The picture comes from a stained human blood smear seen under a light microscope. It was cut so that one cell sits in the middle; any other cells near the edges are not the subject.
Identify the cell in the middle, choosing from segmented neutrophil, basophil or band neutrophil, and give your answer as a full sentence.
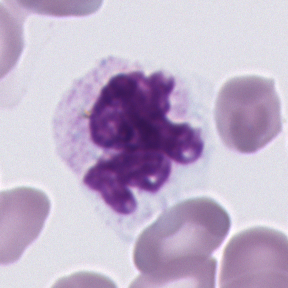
The cell under consideration, at the middle of the crop, is a segmented neutrophil.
